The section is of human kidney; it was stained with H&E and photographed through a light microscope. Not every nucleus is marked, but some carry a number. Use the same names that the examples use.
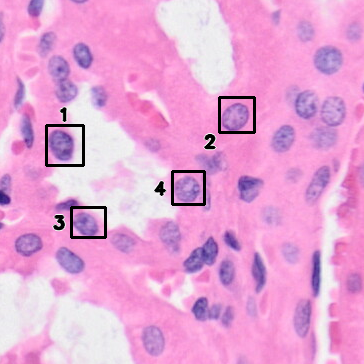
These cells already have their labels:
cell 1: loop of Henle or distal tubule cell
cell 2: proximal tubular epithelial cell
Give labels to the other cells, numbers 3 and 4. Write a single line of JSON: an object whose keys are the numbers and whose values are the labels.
{"3": "loop of Henle or distal tubule cell", "4": "loop of Henle or distal tubule cell"}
